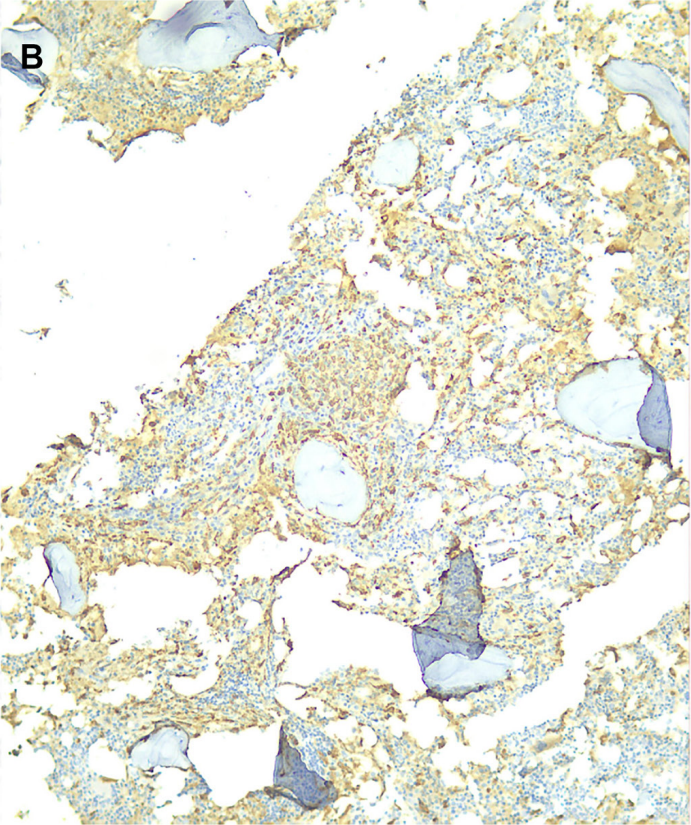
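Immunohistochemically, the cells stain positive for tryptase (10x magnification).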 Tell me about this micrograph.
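This is bone marrow at lower power, with pieces of pale grey-blue bone trabeculae and clear fat spaces scattered through it. Brown staining is spread widely through the marrow between the trabeculae, densest in an irregular patch near the centre. Small blue-counterstained nuclei of unstained marrow cells are visible among the brown areas.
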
